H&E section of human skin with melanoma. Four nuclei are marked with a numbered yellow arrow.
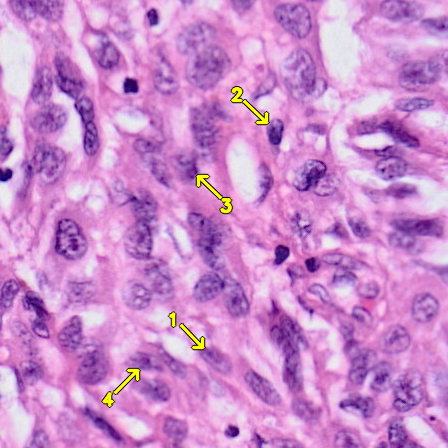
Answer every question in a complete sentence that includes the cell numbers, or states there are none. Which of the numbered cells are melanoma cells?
The cells assigned the numbers 1, 3 and 4 are melanoma cells.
